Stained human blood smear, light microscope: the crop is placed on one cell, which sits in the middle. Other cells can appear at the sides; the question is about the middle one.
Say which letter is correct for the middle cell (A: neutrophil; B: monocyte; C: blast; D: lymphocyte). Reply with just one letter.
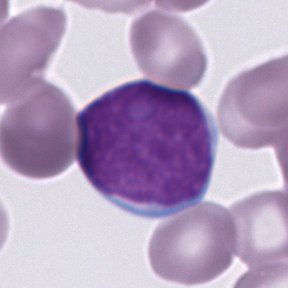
C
